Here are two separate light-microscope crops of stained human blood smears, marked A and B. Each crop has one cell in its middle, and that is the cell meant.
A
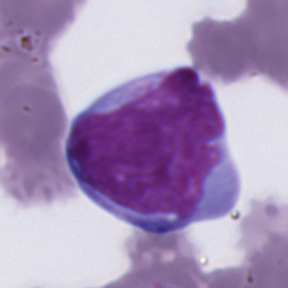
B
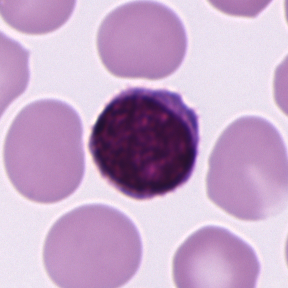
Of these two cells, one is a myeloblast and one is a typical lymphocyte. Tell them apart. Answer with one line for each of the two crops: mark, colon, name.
A: myeloblast
B: typical lymphocyte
